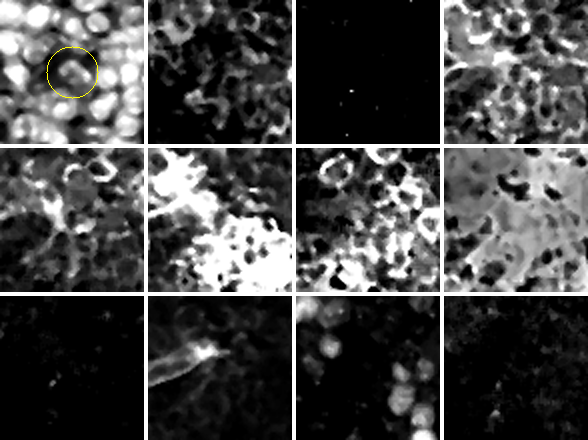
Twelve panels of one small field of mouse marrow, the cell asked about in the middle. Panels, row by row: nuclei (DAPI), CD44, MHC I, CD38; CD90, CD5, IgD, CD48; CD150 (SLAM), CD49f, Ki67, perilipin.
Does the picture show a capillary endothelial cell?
No, it shows a monocyte.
